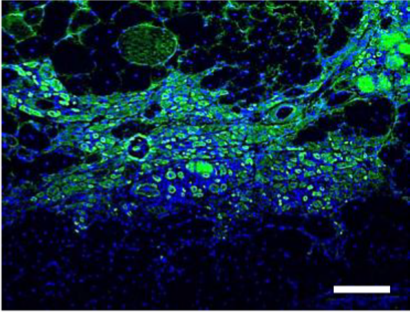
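This is a cross-section of skeletal muscle in which a broad band of small, rounded muscle fibers stands out with green cytoplasmic staining. These small green fibers are densely packed and interspersed with many blue nuclei, forming a cluster that crosses the field. The sizes of the fibers vary widely across the section.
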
